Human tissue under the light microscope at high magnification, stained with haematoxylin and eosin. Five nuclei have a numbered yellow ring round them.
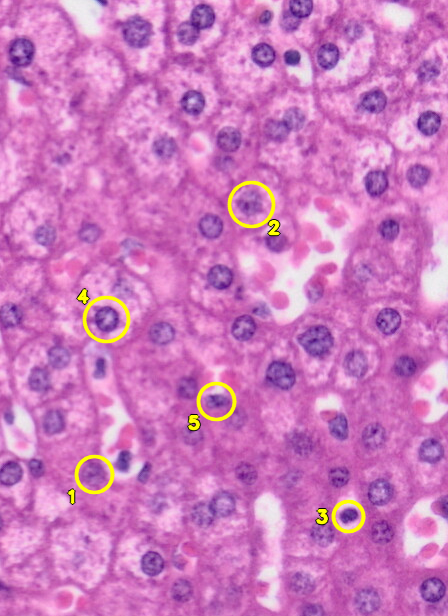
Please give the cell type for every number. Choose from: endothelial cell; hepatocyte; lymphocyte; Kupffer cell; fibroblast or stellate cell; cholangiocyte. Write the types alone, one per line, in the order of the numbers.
hepatocyte
hepatocyte
lymphocyte
hepatocyte
endothelial cell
